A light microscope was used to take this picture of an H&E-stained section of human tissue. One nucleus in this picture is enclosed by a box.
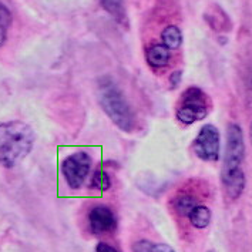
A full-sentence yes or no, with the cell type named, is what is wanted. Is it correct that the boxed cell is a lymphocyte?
Yes, the boxed cell counts as a lymphocyte in this tissue.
